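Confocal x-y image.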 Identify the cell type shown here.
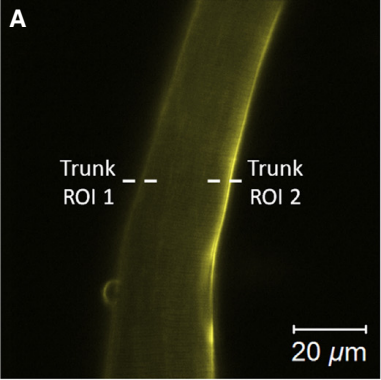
Myofiber.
